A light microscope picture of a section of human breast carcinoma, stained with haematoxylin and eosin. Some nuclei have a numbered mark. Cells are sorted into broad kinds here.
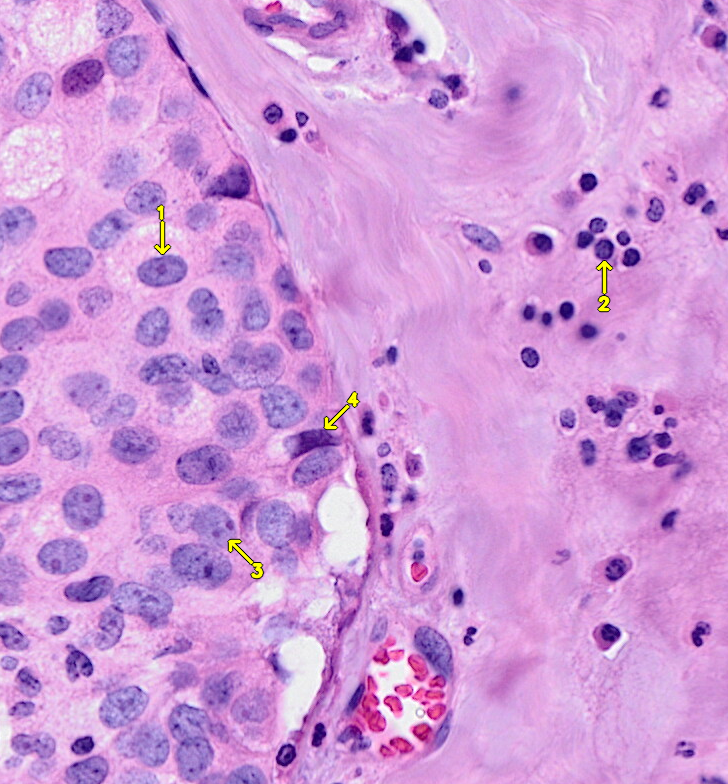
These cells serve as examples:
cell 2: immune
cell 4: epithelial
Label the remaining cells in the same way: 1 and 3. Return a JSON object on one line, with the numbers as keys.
{"1": "epithelial", "3": "epithelial"}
